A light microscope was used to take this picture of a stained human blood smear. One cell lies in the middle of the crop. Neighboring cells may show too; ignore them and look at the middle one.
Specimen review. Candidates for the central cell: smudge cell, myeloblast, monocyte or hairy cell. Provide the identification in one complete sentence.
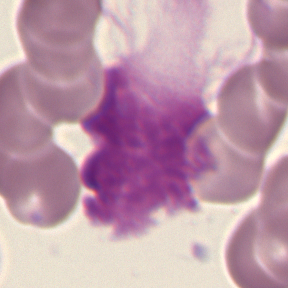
The central element of this crop is a cell, namely a smudge cell.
